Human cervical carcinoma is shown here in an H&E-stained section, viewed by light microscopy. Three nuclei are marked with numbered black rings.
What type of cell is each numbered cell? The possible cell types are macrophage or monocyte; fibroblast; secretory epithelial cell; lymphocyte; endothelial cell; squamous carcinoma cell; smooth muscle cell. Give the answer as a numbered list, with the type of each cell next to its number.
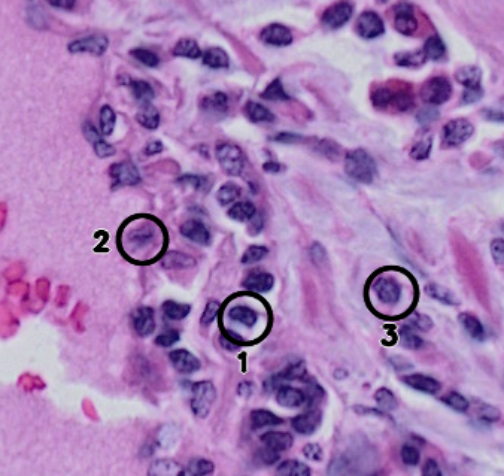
1. lymphocyte
2. endothelial cell
3. lymphocyte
